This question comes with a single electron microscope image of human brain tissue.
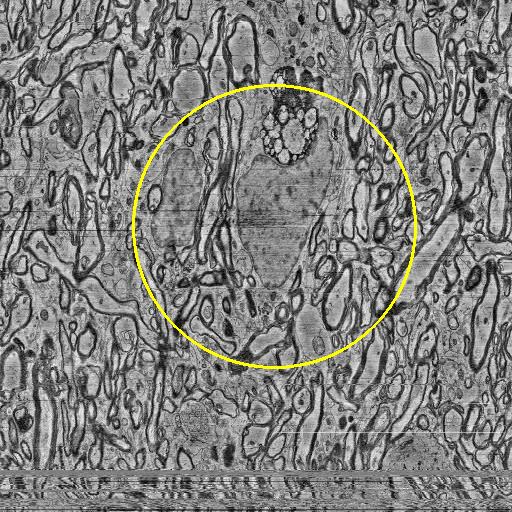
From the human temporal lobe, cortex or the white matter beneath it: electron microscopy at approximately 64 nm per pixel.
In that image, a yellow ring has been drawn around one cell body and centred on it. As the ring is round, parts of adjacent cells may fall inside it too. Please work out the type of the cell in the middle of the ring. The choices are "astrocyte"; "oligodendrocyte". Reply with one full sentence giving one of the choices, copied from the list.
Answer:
Of the choices, an astrocyte is the cell sitting in the middle of the ring.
